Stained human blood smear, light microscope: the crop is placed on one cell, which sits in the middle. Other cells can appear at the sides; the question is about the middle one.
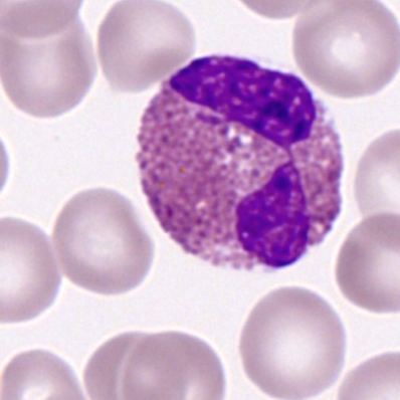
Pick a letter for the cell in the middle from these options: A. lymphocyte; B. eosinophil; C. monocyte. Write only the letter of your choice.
B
